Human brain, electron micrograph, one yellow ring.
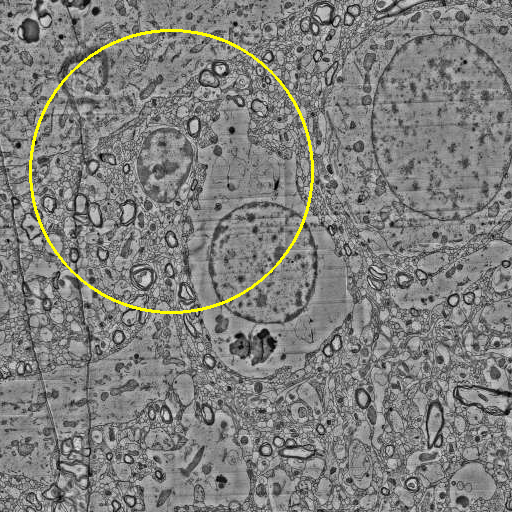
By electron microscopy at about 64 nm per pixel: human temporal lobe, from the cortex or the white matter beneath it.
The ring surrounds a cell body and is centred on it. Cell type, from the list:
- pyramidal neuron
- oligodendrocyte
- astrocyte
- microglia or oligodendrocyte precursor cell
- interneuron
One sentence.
The yellow ring circles a microglial cell or oligodendrocyte precursor cell.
